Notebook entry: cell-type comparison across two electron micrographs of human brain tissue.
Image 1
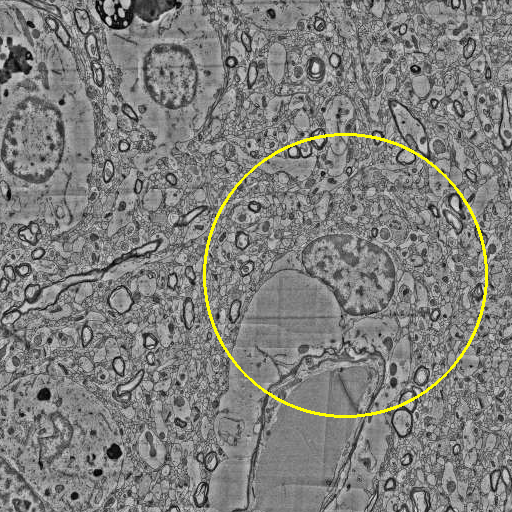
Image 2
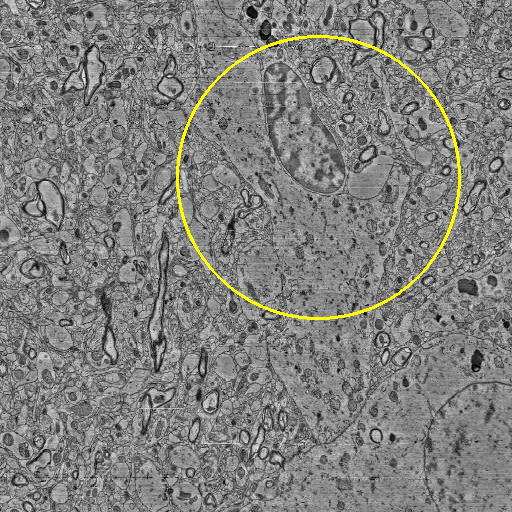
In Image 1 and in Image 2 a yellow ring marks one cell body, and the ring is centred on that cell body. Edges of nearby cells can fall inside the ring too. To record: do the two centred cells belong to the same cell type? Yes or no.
yes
